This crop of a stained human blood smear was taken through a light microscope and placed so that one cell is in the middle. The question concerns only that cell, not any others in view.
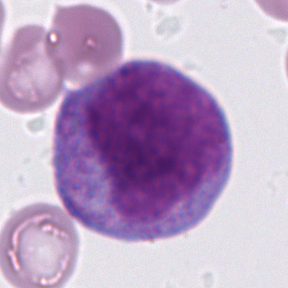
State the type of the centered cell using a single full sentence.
The cell found in the middle of this crop is a promyelocyte.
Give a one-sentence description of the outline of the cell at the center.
The edge of the cell is unbroken and smooth, bearing no projections.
